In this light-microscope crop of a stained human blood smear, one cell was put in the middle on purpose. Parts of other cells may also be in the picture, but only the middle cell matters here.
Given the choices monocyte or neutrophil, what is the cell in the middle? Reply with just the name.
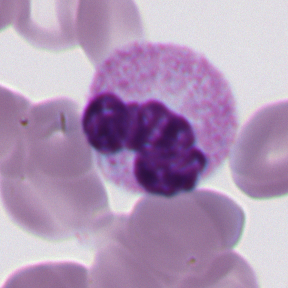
neutrophil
